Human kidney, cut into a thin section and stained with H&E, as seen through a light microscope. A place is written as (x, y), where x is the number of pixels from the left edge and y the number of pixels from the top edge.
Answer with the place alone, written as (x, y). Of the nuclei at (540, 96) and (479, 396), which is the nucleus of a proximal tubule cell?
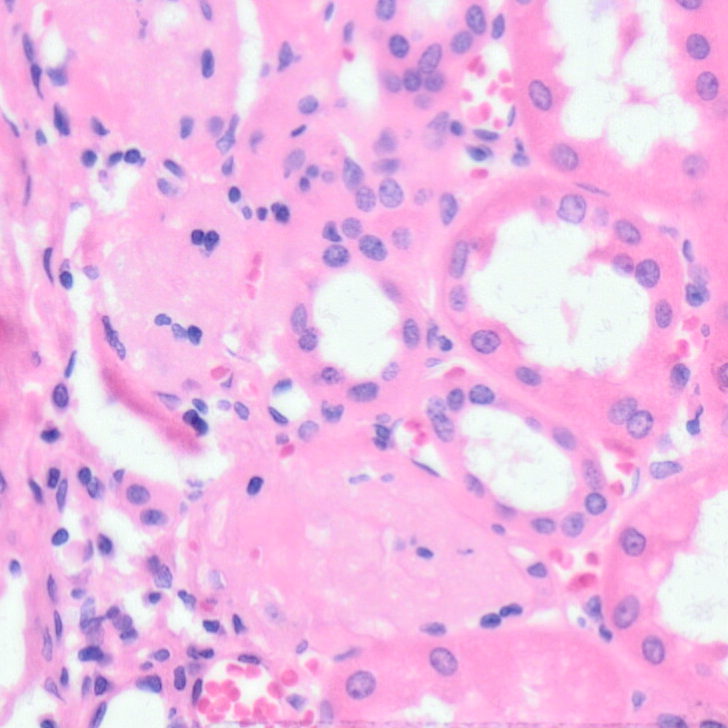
(540, 96)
